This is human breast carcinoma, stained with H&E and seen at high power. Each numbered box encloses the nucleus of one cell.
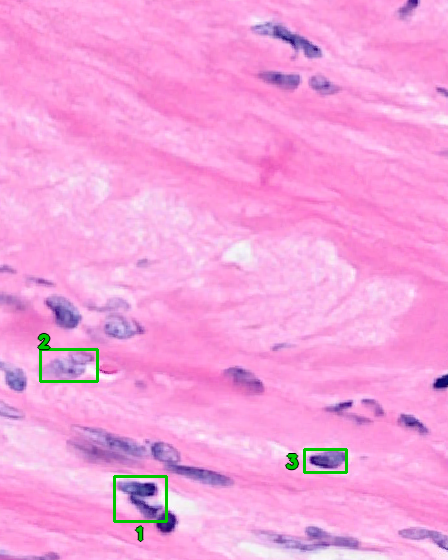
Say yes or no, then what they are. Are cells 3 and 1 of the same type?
Yes, cells 3 and 1 have the same identity; both are lymphocytes.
